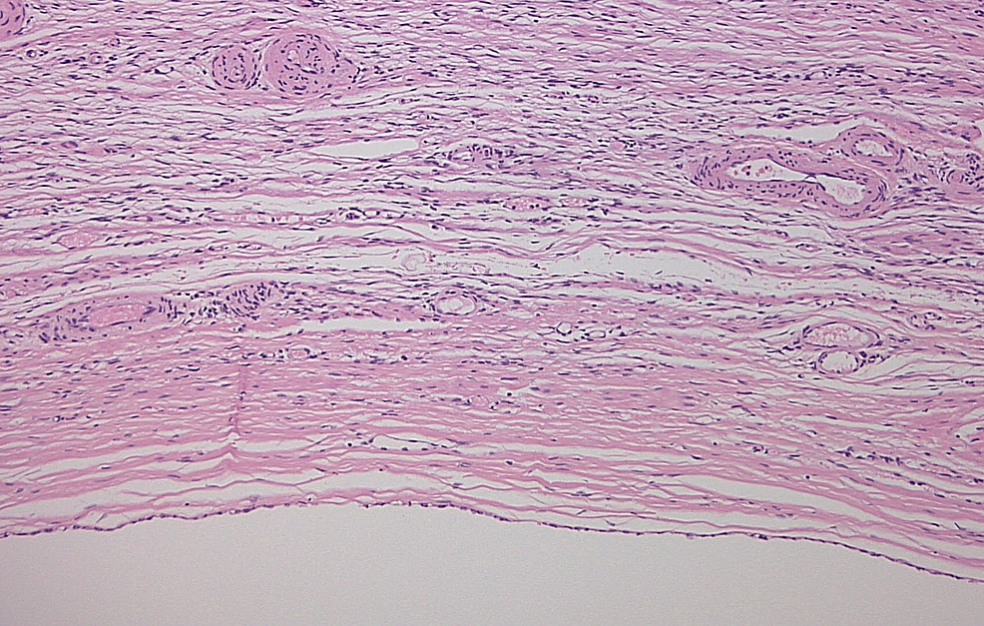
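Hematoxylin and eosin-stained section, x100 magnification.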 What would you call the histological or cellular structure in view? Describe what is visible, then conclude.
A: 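A single thin layer of cells lines the lower edge of the tissue facing an empty space. The nuclei of this lining layer are flat and elongated parallel to the surface. The lining is only one cell thick, with no columnar or cuboidal cells. On this evidence: flattened epithelium.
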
